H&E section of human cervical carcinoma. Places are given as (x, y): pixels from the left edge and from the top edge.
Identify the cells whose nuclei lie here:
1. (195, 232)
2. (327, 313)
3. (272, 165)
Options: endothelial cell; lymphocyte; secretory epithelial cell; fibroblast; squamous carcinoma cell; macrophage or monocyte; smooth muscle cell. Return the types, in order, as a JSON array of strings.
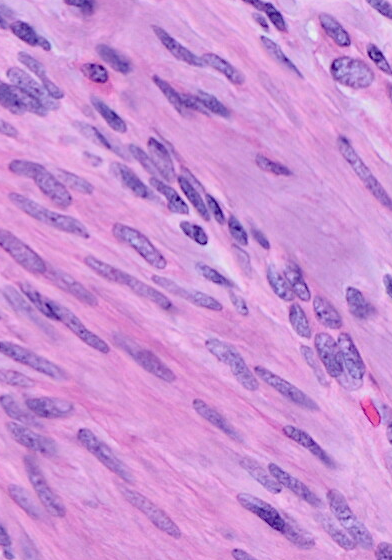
["lymphocyte", "endothelial cell", "smooth muscle cell"]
